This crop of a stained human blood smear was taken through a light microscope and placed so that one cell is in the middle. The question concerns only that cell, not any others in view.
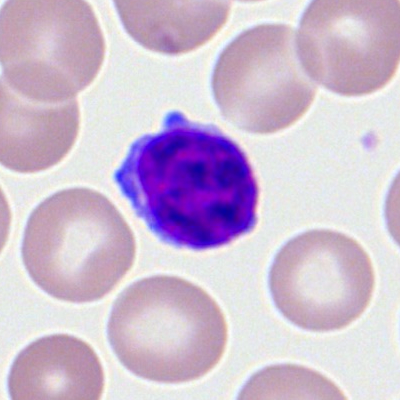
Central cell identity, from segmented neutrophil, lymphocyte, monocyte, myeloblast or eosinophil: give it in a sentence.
Within this crop, a lymphocyte occupies the central position.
